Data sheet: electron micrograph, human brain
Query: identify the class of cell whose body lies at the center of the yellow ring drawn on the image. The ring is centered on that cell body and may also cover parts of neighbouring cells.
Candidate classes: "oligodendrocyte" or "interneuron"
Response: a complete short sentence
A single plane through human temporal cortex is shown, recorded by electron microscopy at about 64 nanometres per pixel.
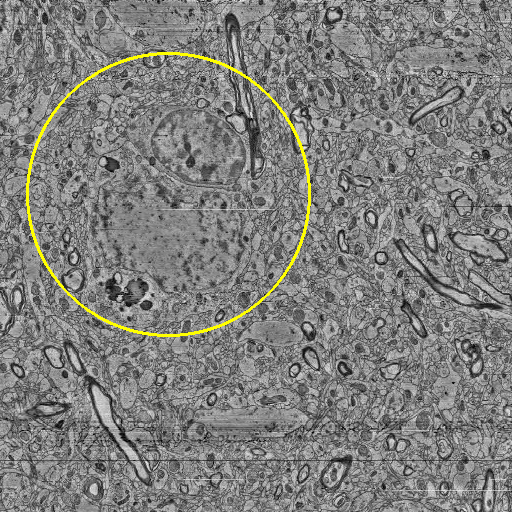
At the center of the ring lies an interneuron.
